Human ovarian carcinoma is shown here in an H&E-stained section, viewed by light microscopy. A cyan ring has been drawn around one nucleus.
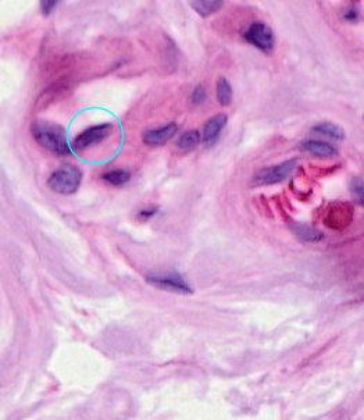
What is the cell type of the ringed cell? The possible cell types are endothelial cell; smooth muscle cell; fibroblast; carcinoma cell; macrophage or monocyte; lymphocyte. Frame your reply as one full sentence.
On this particular slide, the ringed cell is an endothelial cell.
